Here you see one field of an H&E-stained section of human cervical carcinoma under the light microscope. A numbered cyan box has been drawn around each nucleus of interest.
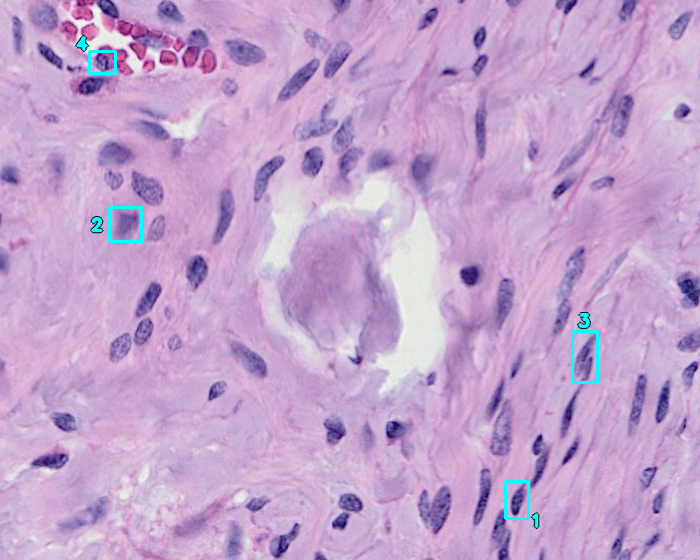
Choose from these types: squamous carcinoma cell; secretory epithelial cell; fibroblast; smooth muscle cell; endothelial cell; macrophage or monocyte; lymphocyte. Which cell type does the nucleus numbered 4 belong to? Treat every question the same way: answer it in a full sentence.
Here, the cell given the number 4 is an endothelial cell.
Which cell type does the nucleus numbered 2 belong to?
The cell marked with the number 2 is a fibroblast.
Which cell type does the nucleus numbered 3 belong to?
Marked with the number 3, this cell is a fibroblast.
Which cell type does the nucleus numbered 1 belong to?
Cell 1 is classified as a fibroblast.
